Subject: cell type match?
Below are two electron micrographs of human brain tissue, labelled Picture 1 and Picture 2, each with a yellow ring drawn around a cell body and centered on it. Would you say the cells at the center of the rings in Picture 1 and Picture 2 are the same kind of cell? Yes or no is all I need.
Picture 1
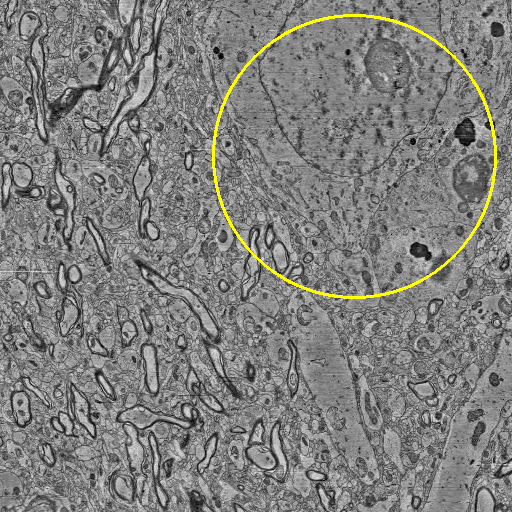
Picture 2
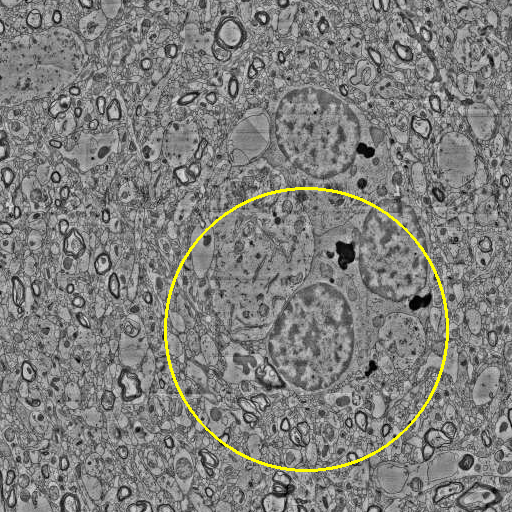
no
